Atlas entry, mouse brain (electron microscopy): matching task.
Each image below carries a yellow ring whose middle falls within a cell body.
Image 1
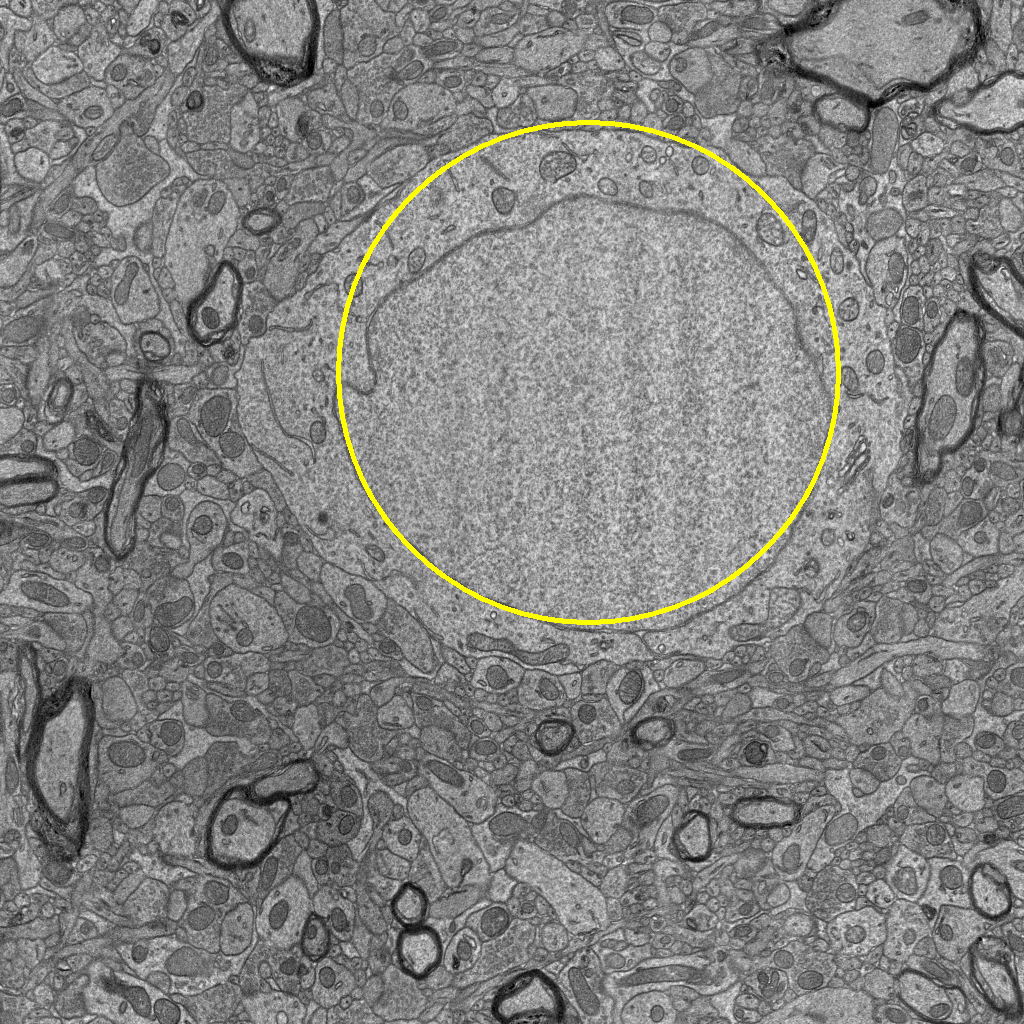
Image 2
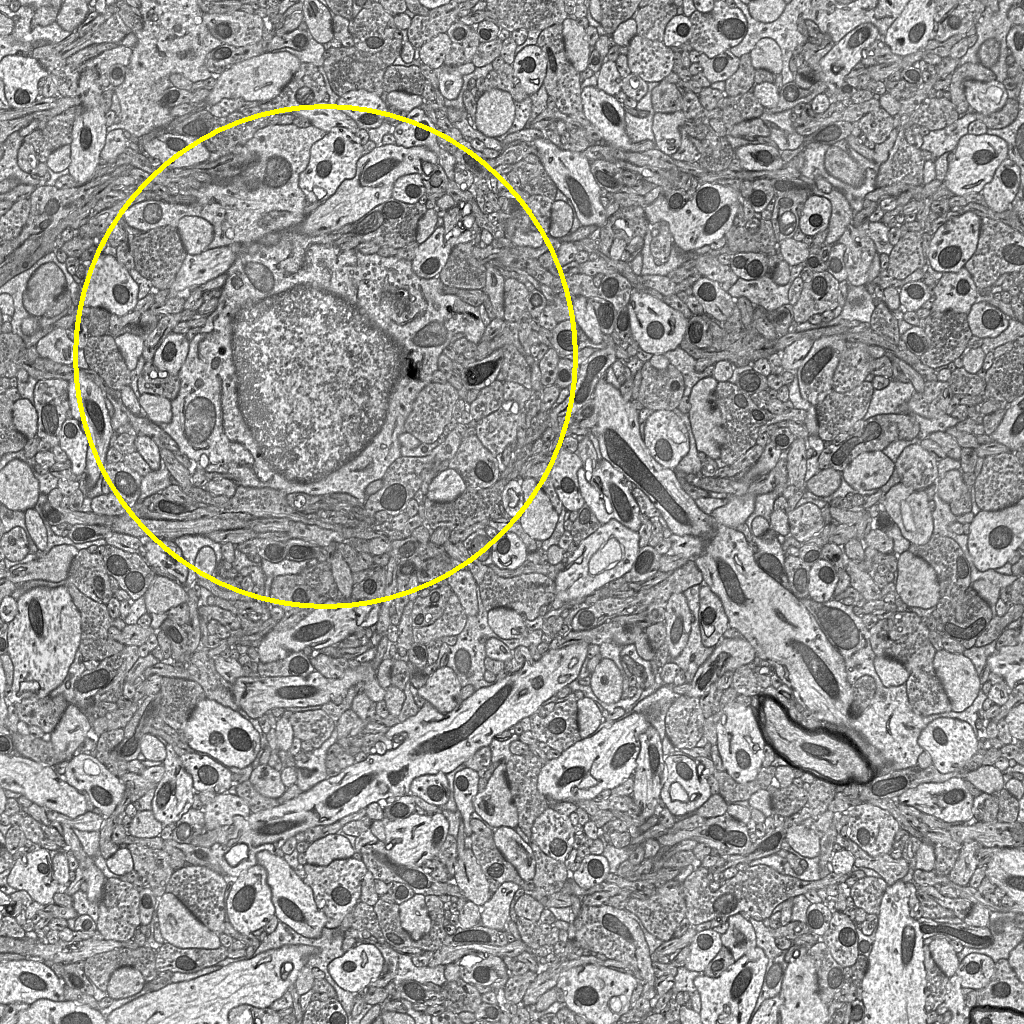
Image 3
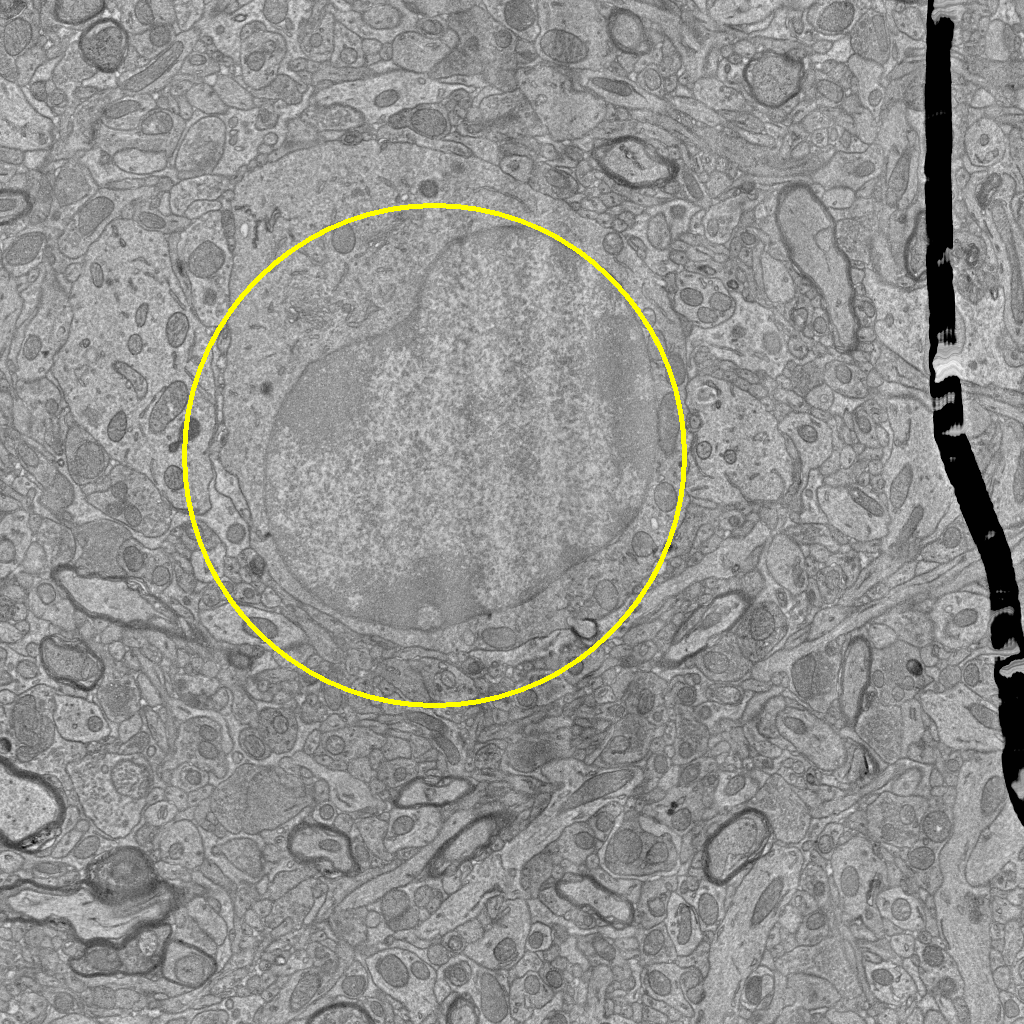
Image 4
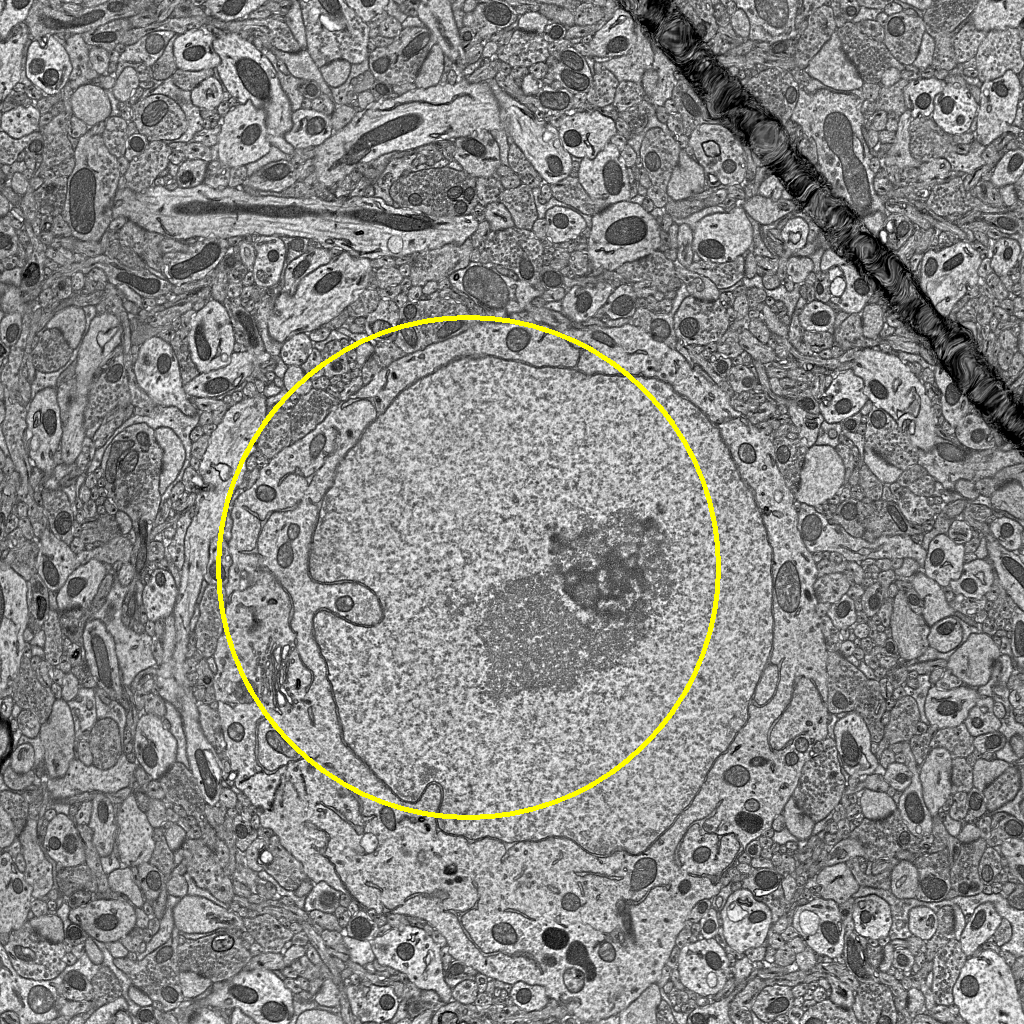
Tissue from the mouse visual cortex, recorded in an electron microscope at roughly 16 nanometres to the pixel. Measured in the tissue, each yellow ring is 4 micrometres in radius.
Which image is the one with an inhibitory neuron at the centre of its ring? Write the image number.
4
